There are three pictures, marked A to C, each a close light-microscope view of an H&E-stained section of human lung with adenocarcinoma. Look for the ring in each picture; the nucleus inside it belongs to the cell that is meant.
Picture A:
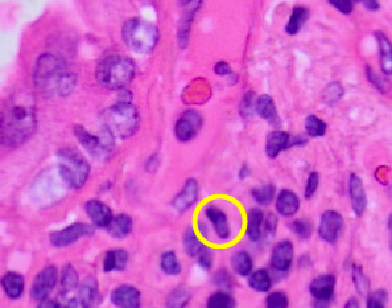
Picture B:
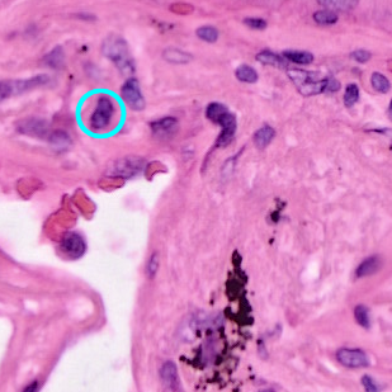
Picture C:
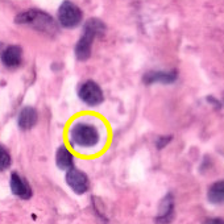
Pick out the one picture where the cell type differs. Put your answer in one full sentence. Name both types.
The others show lymphocytes, but picture B shows a plasma cell.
